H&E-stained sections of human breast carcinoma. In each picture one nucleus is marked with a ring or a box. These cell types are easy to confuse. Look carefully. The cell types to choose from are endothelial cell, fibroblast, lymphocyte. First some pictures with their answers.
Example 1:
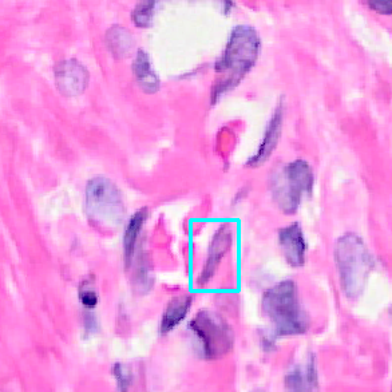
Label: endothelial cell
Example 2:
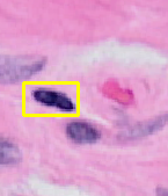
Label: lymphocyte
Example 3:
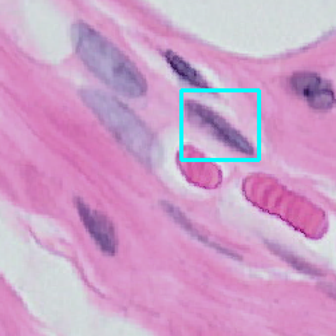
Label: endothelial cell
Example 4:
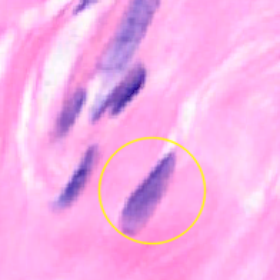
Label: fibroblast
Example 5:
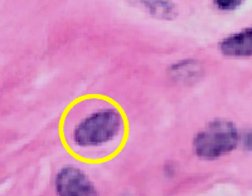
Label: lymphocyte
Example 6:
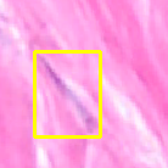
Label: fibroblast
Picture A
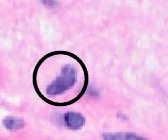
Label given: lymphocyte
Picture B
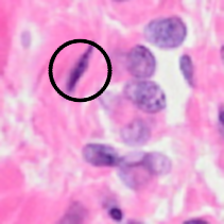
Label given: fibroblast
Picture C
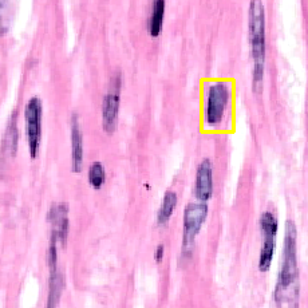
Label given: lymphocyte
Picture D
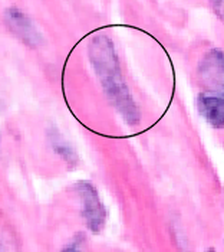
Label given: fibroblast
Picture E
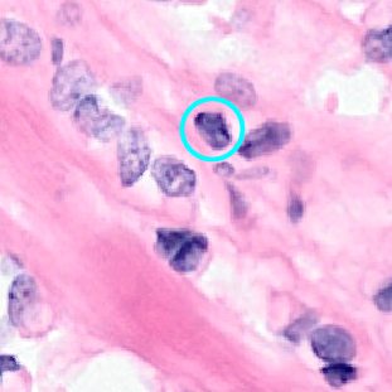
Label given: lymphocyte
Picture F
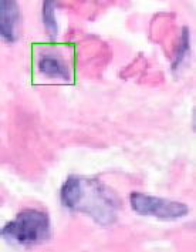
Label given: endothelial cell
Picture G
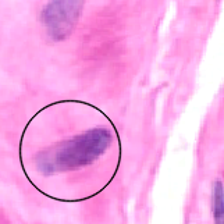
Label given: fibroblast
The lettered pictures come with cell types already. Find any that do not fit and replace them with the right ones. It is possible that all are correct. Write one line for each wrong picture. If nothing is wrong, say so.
All labels are correct.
